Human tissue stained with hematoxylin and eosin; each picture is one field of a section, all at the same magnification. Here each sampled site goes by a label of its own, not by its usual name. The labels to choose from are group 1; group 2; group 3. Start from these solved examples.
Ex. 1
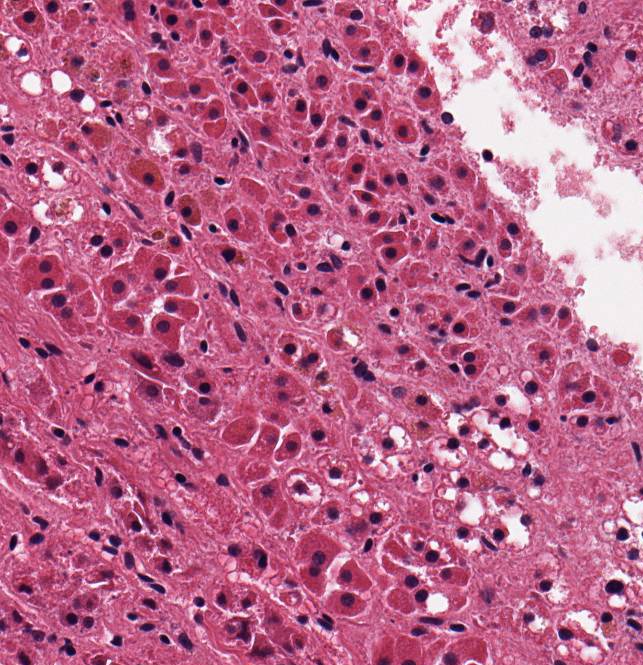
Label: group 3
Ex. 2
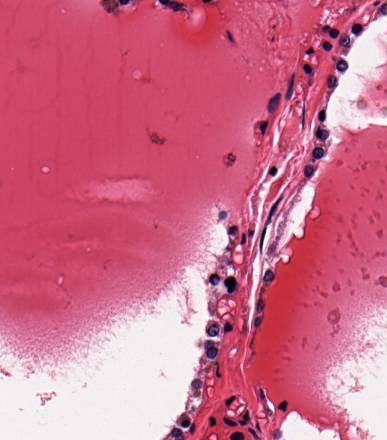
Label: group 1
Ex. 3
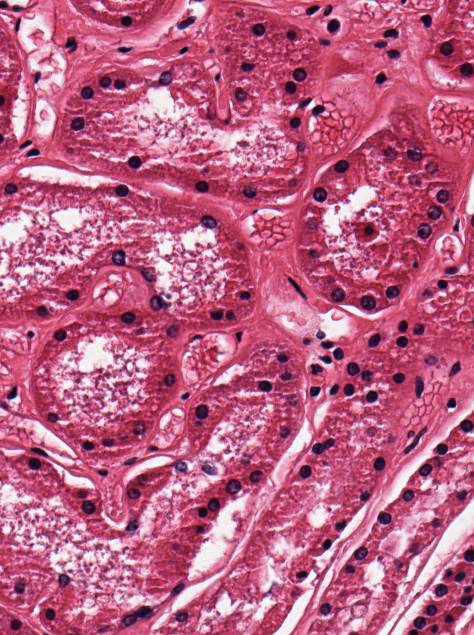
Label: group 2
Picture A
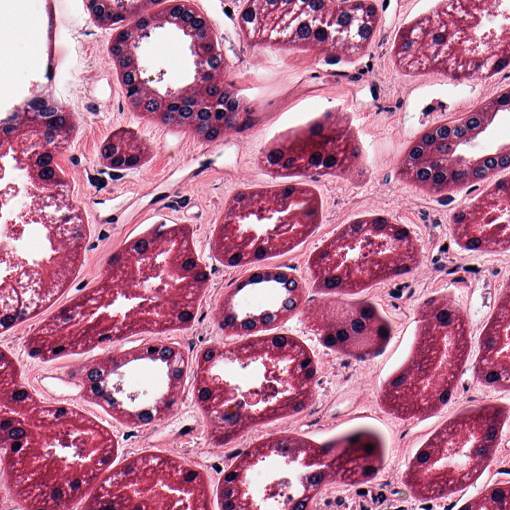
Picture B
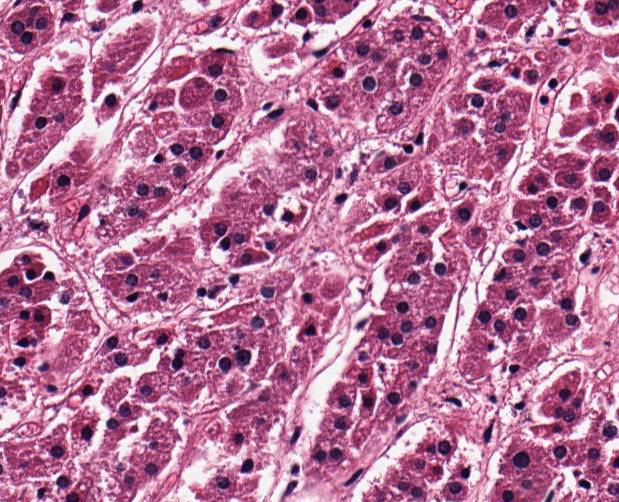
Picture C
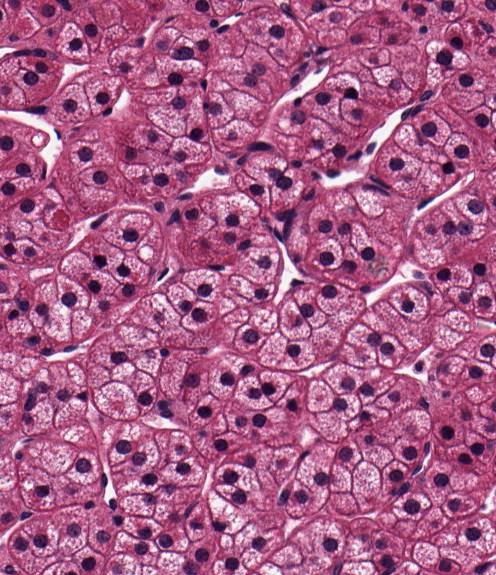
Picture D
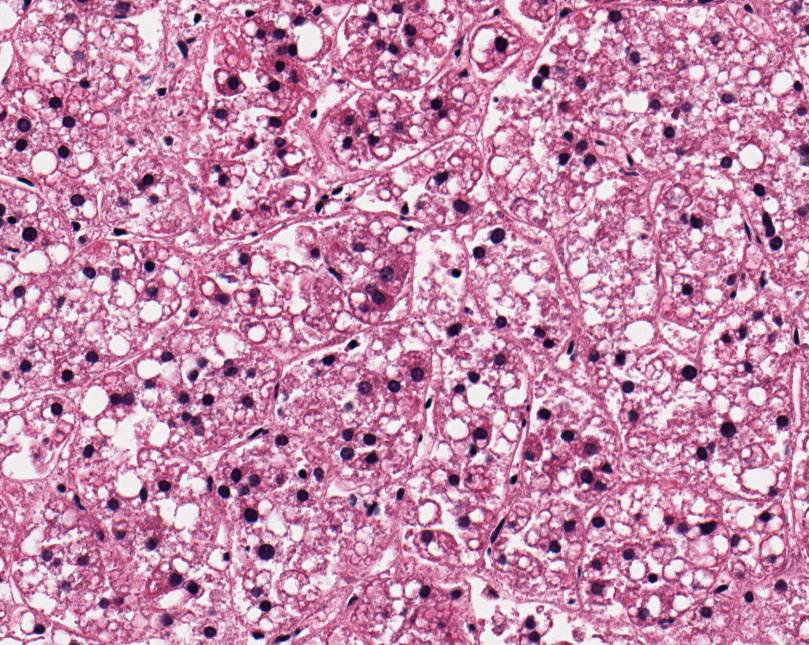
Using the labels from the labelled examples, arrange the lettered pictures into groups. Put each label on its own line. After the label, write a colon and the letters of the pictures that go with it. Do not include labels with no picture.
group 2: A
group 3: B, C, D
